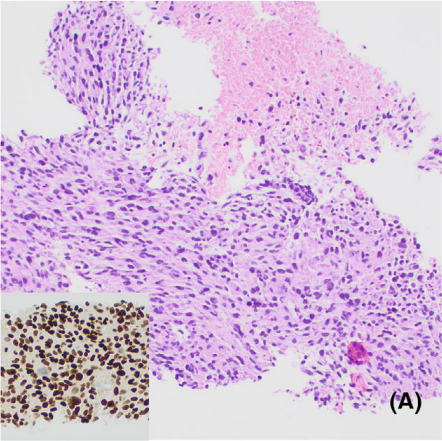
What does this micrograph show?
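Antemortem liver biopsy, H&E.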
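The nuclei are elongated to oval, hyperchromatic and vary considerably in size and shape. In the inset, the tumour cell nuclei are stained brown.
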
